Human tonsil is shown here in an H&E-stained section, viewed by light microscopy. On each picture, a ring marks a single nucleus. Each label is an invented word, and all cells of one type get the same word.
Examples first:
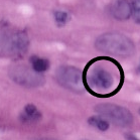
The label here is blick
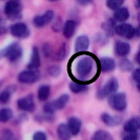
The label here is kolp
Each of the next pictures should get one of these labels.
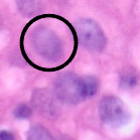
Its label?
blick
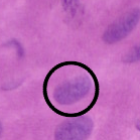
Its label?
blick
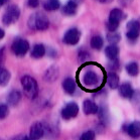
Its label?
kolp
